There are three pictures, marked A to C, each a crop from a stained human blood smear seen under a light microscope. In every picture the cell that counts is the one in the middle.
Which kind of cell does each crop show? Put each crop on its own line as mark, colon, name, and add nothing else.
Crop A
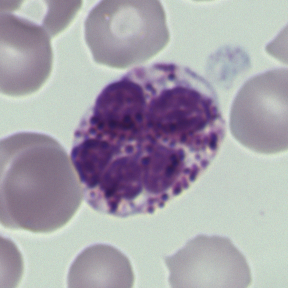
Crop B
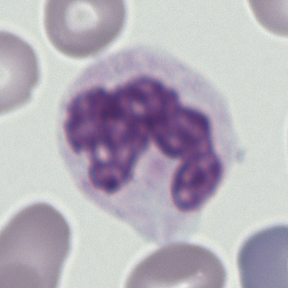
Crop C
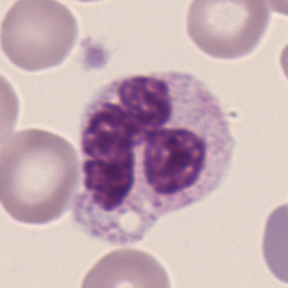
A: basophil
B: segmented neutrophil
C: segmented neutrophil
